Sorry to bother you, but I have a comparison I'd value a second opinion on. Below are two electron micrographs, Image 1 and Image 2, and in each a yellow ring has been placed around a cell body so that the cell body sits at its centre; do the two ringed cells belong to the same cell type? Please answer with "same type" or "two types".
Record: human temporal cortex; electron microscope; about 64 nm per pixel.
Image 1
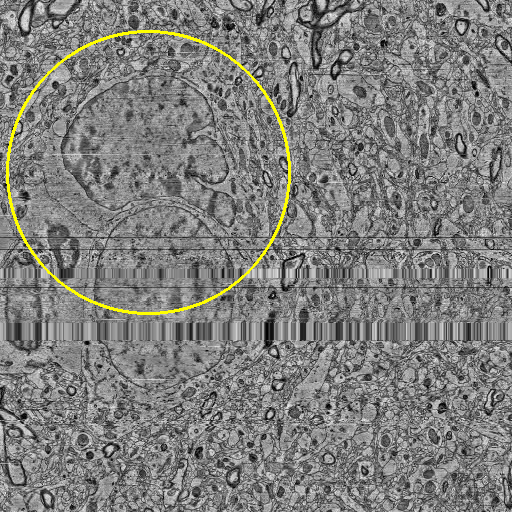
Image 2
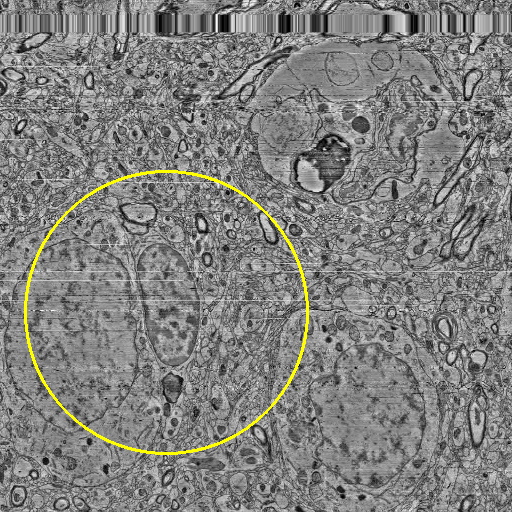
same type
